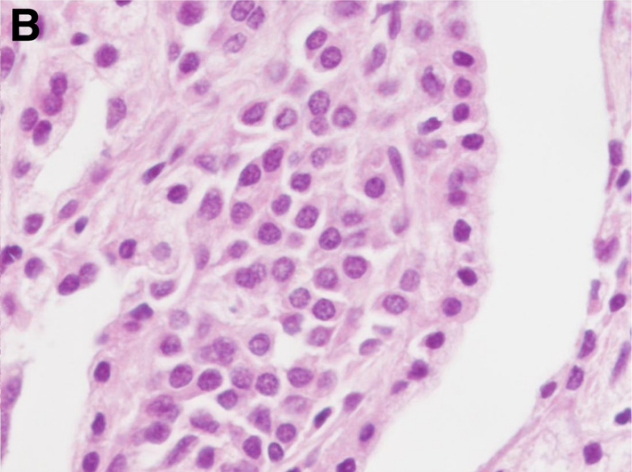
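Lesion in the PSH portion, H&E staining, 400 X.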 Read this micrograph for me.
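This high-power view shows a frond of the tumor made of rounded cells with fairly uniform round to oval nuclei and pale pink cytoplasm packed in its core. Along the edges facing the open spaces sits a lining layer of surface cells with somewhat darker nuclei.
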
